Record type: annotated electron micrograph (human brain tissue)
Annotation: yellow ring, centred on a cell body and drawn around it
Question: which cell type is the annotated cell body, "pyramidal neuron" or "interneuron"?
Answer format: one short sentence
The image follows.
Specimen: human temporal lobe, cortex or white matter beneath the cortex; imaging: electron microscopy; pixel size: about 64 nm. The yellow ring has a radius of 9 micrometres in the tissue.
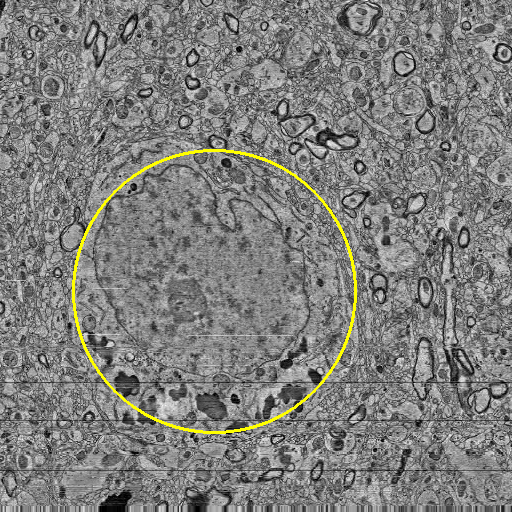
The annotated cell body is that of an interneuron.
